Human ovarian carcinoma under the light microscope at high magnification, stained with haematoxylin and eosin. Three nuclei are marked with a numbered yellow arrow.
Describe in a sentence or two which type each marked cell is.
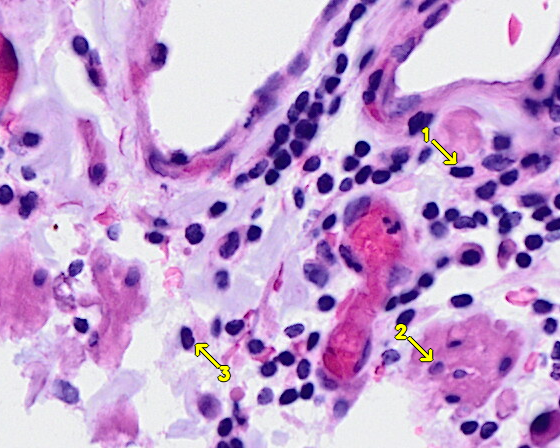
Cell 1 is a lymphocyte, cell 2 is a smooth muscle cell and cell 3 is a lymphocyte.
